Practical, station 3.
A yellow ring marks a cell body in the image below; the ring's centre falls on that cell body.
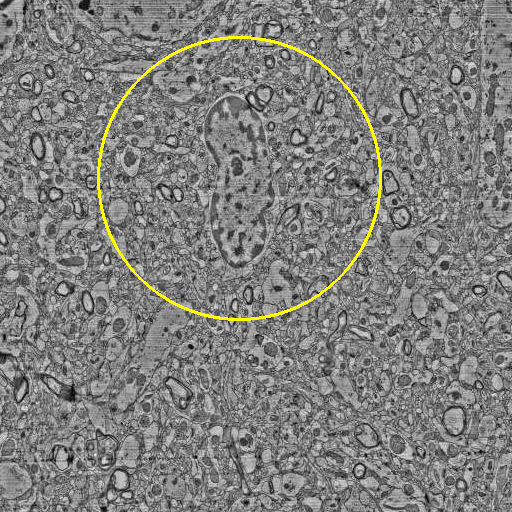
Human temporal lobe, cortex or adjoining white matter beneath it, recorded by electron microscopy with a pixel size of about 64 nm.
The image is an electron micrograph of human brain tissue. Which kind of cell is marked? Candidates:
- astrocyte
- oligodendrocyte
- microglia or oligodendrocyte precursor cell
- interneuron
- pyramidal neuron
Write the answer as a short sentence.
The marked cell body is that of a microglial cell or oligodendrocyte precursor cell.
